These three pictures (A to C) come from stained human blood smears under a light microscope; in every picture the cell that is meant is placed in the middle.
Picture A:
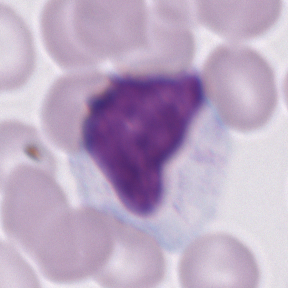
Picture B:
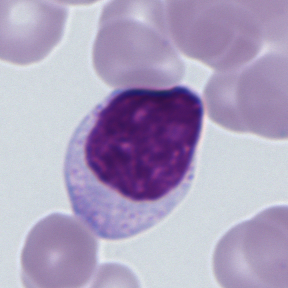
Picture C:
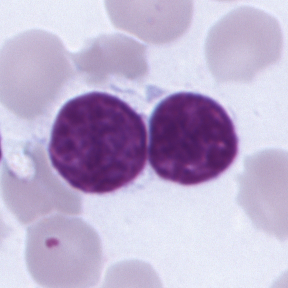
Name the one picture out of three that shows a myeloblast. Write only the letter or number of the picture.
C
